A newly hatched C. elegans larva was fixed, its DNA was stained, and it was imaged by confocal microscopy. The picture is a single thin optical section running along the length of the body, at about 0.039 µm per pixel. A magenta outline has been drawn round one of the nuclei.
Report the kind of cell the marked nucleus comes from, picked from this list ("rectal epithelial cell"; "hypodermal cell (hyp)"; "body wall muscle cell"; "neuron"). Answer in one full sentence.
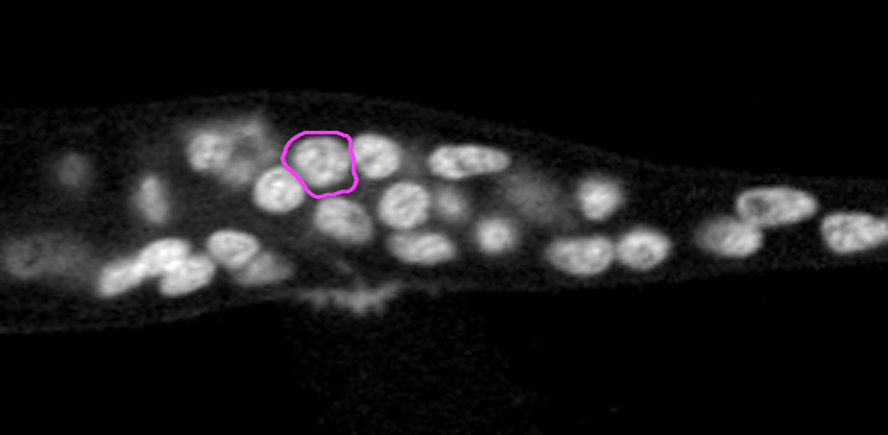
This nucleus is from a neuron.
